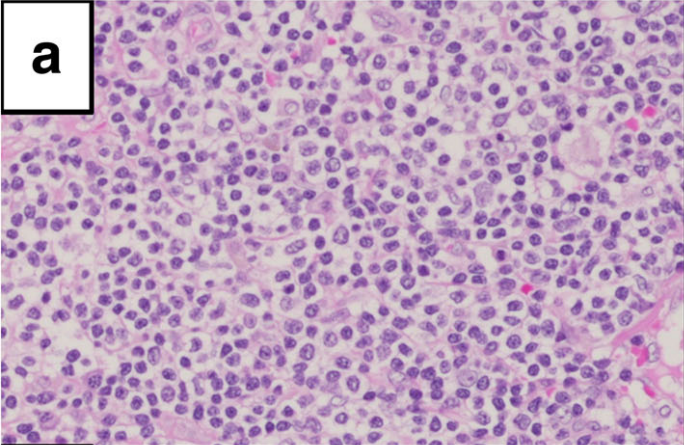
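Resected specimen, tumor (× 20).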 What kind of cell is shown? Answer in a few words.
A: lymphocytes, and plasma cells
